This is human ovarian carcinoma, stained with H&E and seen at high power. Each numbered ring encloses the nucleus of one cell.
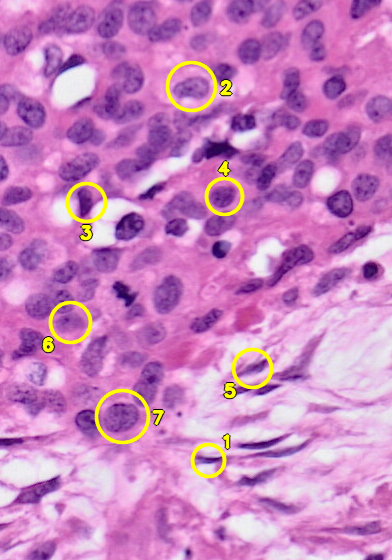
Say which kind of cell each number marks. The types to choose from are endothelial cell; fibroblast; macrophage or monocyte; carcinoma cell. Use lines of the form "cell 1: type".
cell 1: fibroblast
cell 2: macrophage or monocyte
cell 3: carcinoma cell
cell 4: carcinoma cell
cell 5: fibroblast
cell 6: carcinoma cell
cell 7: carcinoma cell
